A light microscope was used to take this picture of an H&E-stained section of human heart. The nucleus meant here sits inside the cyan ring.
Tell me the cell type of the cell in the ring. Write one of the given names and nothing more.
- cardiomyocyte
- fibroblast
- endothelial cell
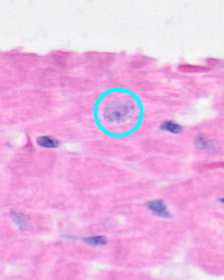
cardiomyocyte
